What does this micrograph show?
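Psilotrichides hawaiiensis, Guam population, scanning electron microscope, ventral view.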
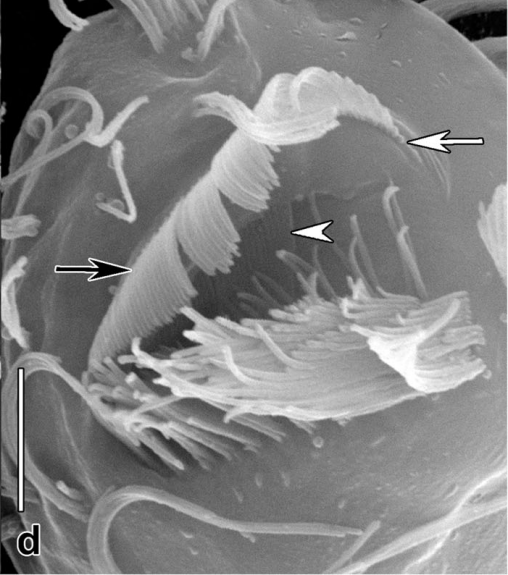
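The oral region of a ciliate cell is seen from below, where a curved sheet of closely set cilia runs along the rim of a deep cavity. The cilia are long in the middle of the sheet and grow shorter toward its curled end. Deep inside the cavity a separate row of finer, sparser cilia can be seen behind the sheet. Below, a mass of longer cilia fans out across the cavity floor, and single cilia and cirri lie on the smooth surface around.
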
